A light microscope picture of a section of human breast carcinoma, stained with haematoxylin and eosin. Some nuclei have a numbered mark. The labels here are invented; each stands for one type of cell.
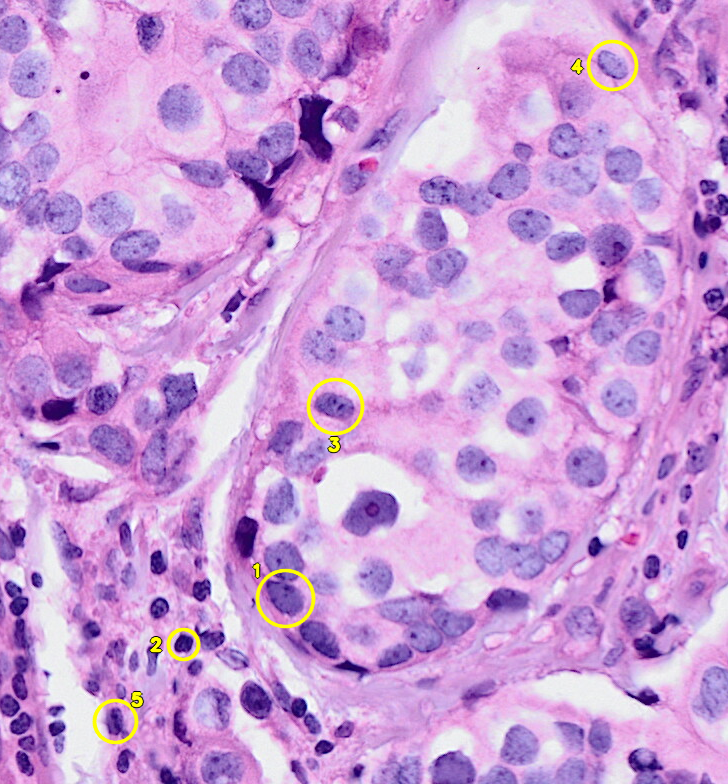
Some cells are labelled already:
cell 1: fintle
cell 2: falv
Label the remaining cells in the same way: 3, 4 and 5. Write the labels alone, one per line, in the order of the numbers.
fintle
fintle
falv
